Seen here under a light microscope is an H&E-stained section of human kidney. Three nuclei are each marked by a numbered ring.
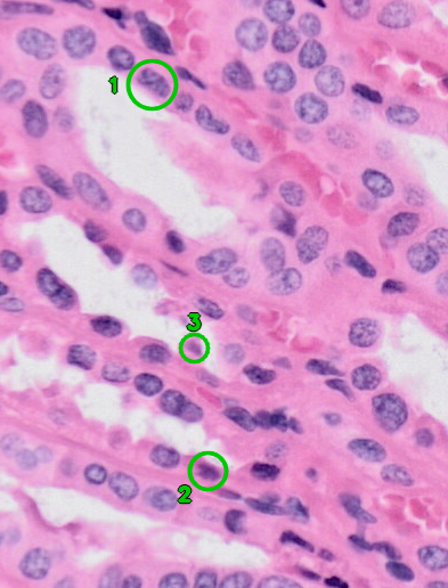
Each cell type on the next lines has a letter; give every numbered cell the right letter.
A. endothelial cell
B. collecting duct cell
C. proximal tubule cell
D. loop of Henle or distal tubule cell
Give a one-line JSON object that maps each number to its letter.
{"1": "B", "2": "D", "3": "D"}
